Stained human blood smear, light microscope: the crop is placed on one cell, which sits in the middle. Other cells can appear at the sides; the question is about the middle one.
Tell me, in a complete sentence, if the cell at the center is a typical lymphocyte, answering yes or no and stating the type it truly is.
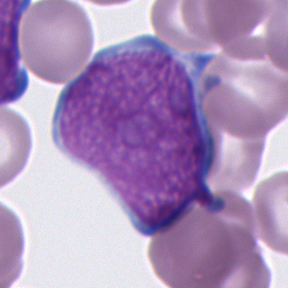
No, what is seen at the centre is a myeloblast instead of a typical lymphocyte.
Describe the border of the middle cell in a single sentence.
Irregularity marks the cell border, whether as raggedness or as projections.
